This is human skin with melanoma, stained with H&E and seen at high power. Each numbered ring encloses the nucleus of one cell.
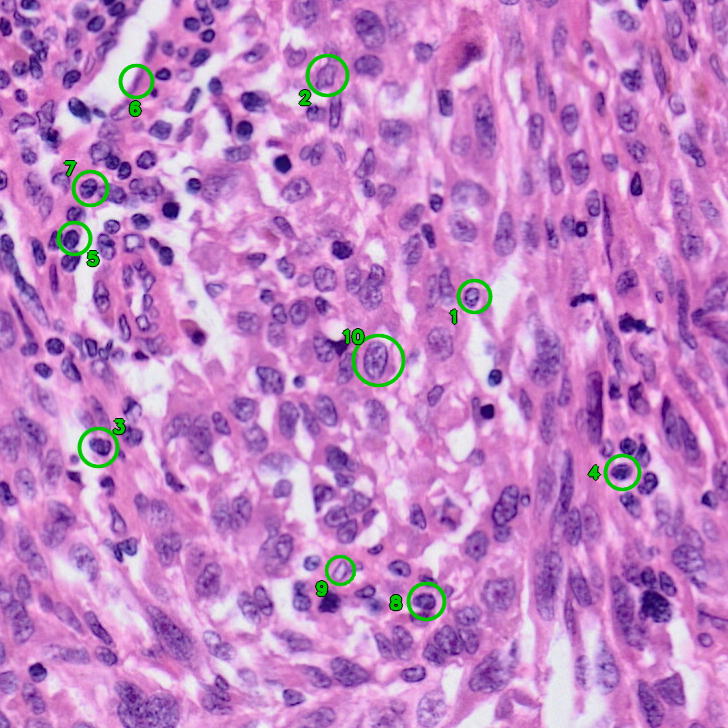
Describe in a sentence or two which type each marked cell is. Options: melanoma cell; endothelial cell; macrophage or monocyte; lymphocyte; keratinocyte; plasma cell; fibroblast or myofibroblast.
Cells 1, 3, 4, 5, 7 and 8 are lymphocytes. Cells 2 and 10 are melanoma cells. Cells 6 and 9 are endothelial cells.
